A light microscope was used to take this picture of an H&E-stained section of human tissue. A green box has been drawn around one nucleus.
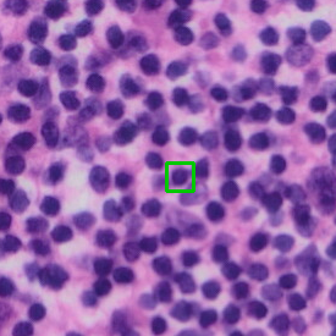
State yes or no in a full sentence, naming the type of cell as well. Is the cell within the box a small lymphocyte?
Yes, the cell within the box is recognized as a small lymphocyte in this section.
